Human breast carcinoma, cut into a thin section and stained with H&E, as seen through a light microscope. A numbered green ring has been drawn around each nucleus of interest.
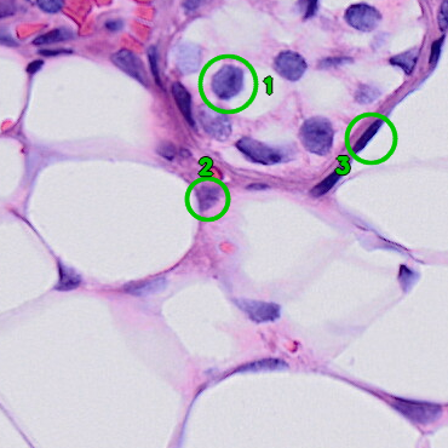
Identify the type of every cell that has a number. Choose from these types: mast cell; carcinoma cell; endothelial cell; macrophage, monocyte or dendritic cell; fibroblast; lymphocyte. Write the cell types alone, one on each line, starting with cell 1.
carcinoma cell
endothelial cell
endothelial cell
